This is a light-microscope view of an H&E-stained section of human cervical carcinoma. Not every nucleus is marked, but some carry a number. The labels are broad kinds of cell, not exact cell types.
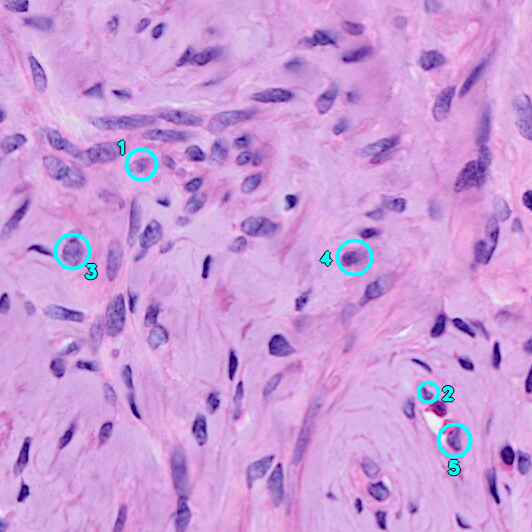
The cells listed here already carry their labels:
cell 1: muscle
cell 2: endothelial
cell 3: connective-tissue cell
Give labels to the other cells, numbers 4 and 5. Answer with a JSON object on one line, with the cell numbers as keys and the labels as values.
{"4": "muscle", "5": "endothelial"}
